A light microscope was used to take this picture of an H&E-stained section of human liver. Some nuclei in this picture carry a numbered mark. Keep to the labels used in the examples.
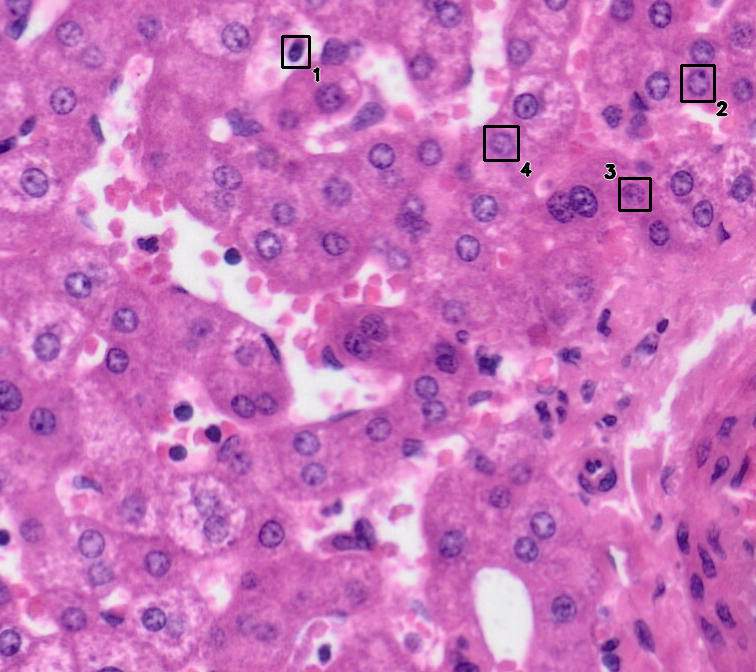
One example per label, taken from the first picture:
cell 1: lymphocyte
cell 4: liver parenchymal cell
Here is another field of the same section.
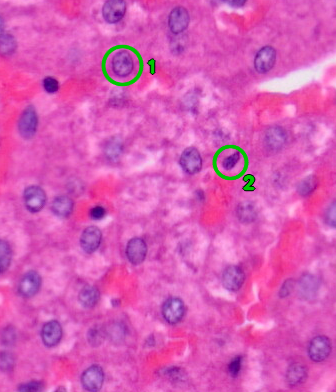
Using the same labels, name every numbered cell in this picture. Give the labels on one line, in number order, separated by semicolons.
liver parenchymal cell; lymphocyte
